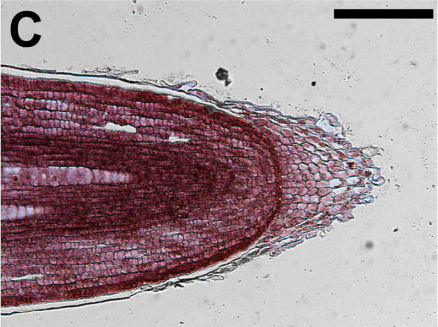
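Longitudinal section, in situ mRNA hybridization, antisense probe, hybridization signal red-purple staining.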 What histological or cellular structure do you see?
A: root cap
